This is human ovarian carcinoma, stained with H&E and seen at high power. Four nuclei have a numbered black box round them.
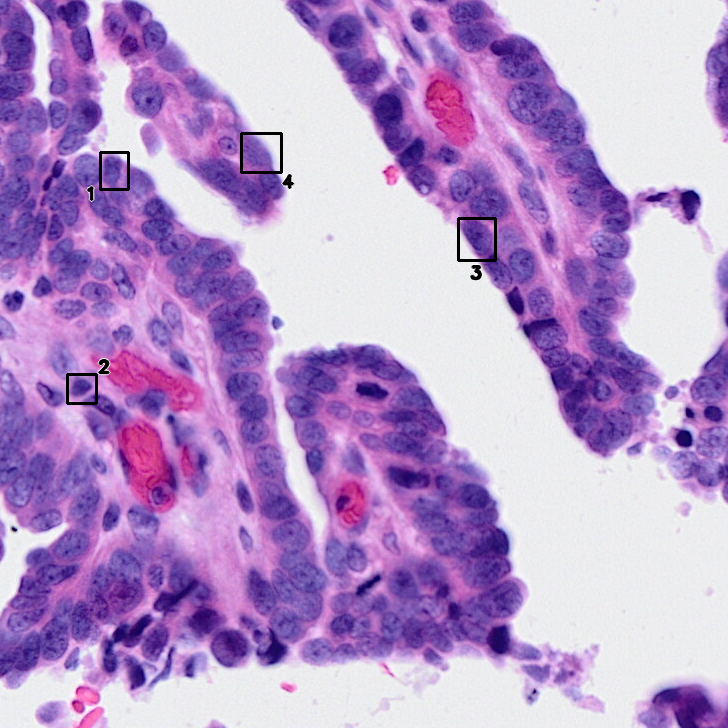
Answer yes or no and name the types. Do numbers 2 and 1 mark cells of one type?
No, that is not right: cell 2 is a lymphocyte and cell 1 is a carcinoma cell.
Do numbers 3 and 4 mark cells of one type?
Yes, cells 3 and 4 both fall under carcinoma cells.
